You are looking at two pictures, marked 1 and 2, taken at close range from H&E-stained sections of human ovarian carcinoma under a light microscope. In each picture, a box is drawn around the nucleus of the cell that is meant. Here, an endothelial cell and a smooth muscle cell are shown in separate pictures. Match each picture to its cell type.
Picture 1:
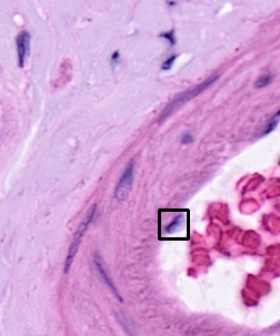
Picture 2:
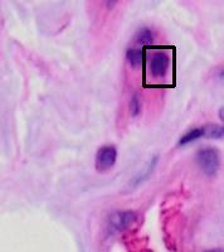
1: endothelial cell
2: smooth muscle cell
